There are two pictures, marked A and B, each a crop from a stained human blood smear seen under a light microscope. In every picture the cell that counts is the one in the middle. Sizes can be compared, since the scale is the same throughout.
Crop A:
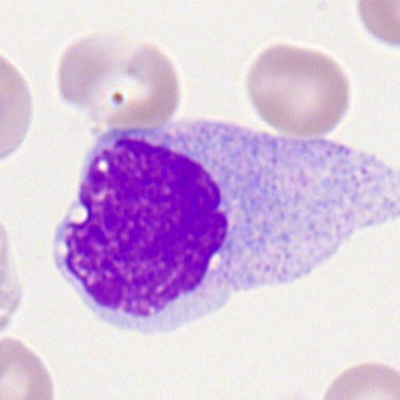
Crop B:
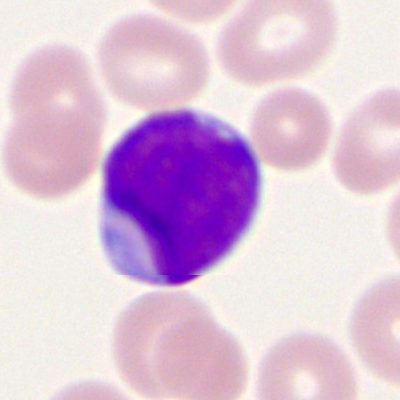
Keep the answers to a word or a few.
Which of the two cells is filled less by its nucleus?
A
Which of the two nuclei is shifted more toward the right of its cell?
B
